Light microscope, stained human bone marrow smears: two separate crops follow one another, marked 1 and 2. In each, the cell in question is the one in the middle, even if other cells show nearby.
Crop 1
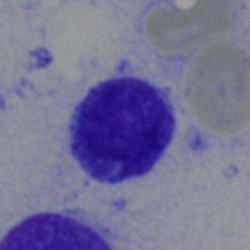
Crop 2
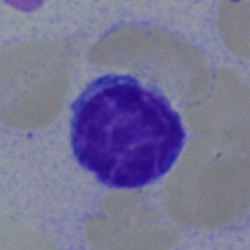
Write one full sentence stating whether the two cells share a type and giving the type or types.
Yes, both crops show lymphocytes, and nothing else needs adding.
